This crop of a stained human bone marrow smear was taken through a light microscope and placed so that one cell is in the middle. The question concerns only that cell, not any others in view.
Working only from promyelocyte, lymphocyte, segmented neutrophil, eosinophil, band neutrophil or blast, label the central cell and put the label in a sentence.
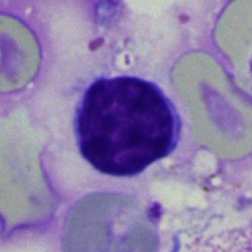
The cell at the middle of the frame should be recorded as a lymphocyte.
